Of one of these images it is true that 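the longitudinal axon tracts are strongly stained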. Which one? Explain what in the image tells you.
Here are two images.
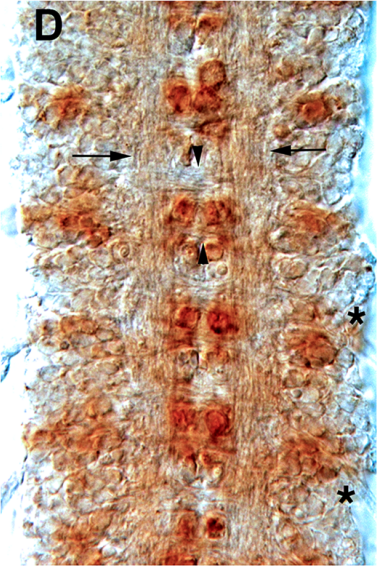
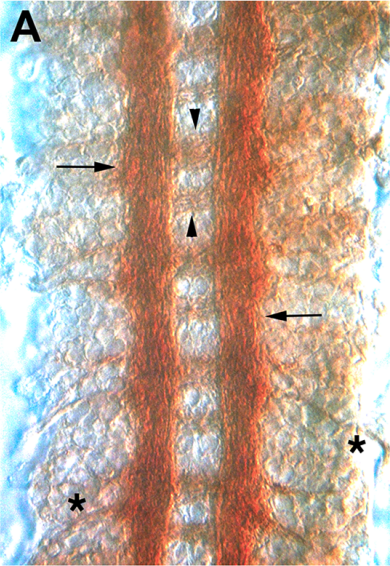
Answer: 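First image: the lengthwise fibre tracts are pale, and the brown stain lies in round cell profiles. Second image: two thick, dark brown lengthwise bands dominate the cord.
The second image.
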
